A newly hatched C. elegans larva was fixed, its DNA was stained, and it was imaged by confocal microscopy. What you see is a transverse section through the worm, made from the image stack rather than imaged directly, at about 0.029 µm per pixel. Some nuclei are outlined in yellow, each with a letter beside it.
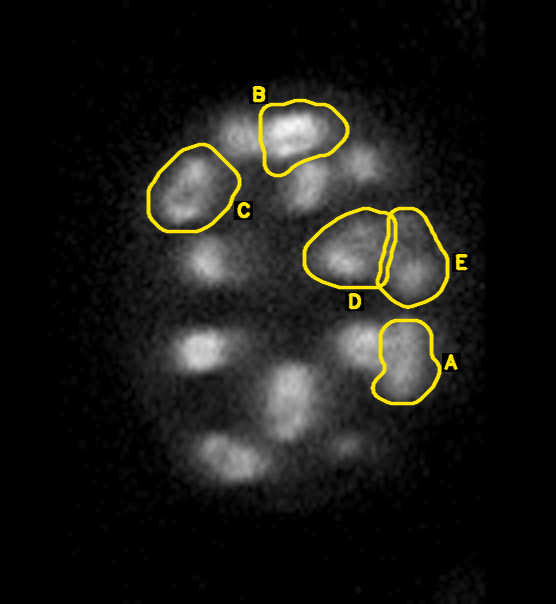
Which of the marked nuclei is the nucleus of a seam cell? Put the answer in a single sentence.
Nucleus E belongs to a seam cell.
